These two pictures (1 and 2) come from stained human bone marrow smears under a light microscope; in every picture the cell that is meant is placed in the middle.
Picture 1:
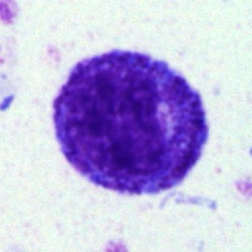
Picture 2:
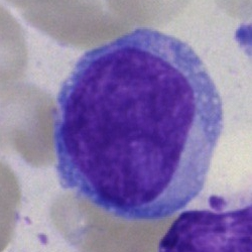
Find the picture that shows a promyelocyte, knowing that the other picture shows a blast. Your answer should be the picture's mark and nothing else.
1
